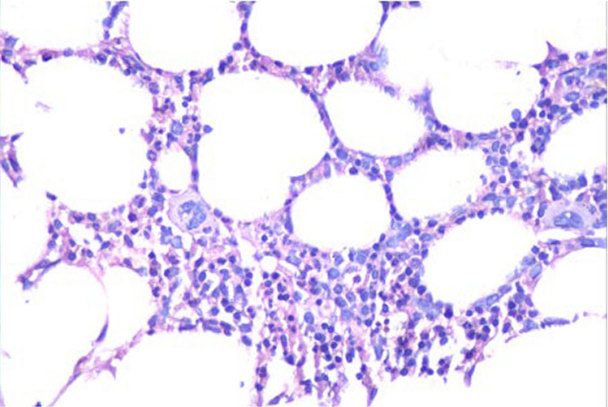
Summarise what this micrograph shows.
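This is a section of bone marrow in which large, clear, round spaces left by fat cells alternate with crowded cellular tissue. The cells between the fat spaces are mostly small and round, with dark purple-blue nuclei and a little pale pink cytoplasm. They pack densely in places, especially toward the lower part of the field, and thin out into single rows along the edges of the fat spaces. The fat spaces vary in size and give the tissue a honeycomb look.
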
